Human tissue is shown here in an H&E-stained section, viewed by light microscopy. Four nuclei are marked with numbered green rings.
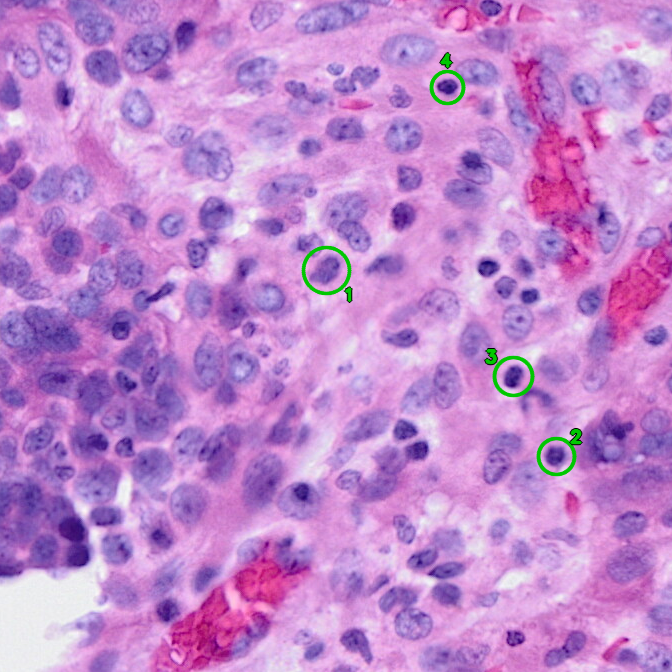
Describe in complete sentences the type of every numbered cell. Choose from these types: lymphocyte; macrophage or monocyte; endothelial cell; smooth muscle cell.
Cell 1 is a macrophage or monocyte. Cells 2, 3 and 4 are lymphocytes.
